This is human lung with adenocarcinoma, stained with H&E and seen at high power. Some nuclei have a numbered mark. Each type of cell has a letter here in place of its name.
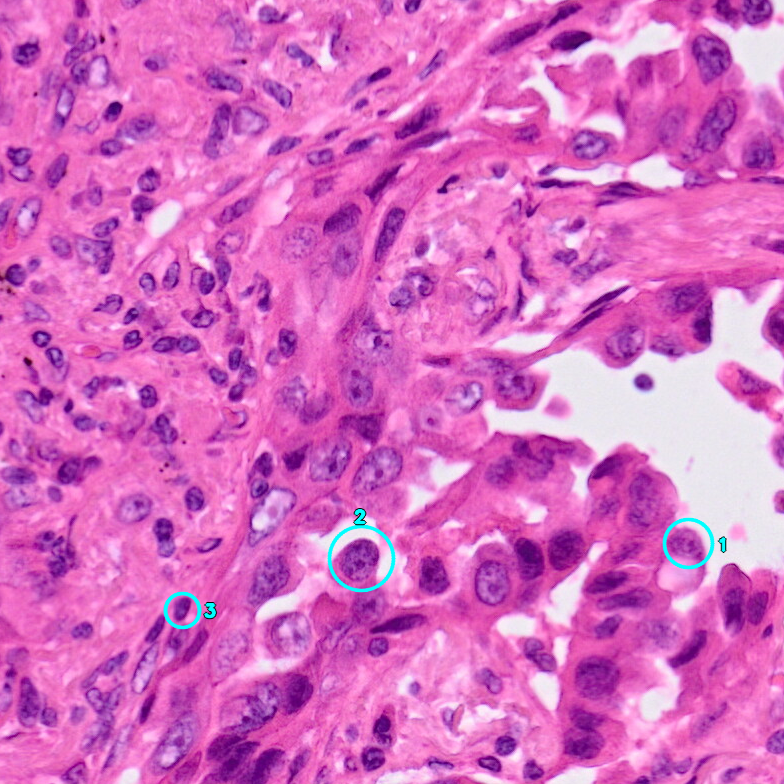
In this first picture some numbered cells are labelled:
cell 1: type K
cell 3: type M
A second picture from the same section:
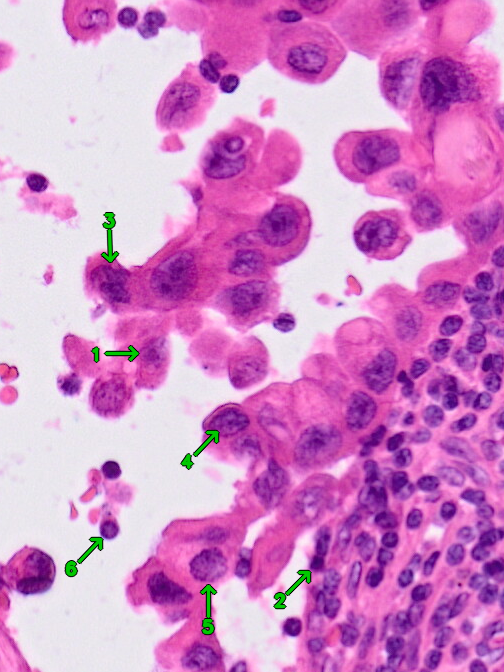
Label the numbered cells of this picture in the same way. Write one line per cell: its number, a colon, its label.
1: type K
2: type M
3: type K
4: type K
5: type K
6: type M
